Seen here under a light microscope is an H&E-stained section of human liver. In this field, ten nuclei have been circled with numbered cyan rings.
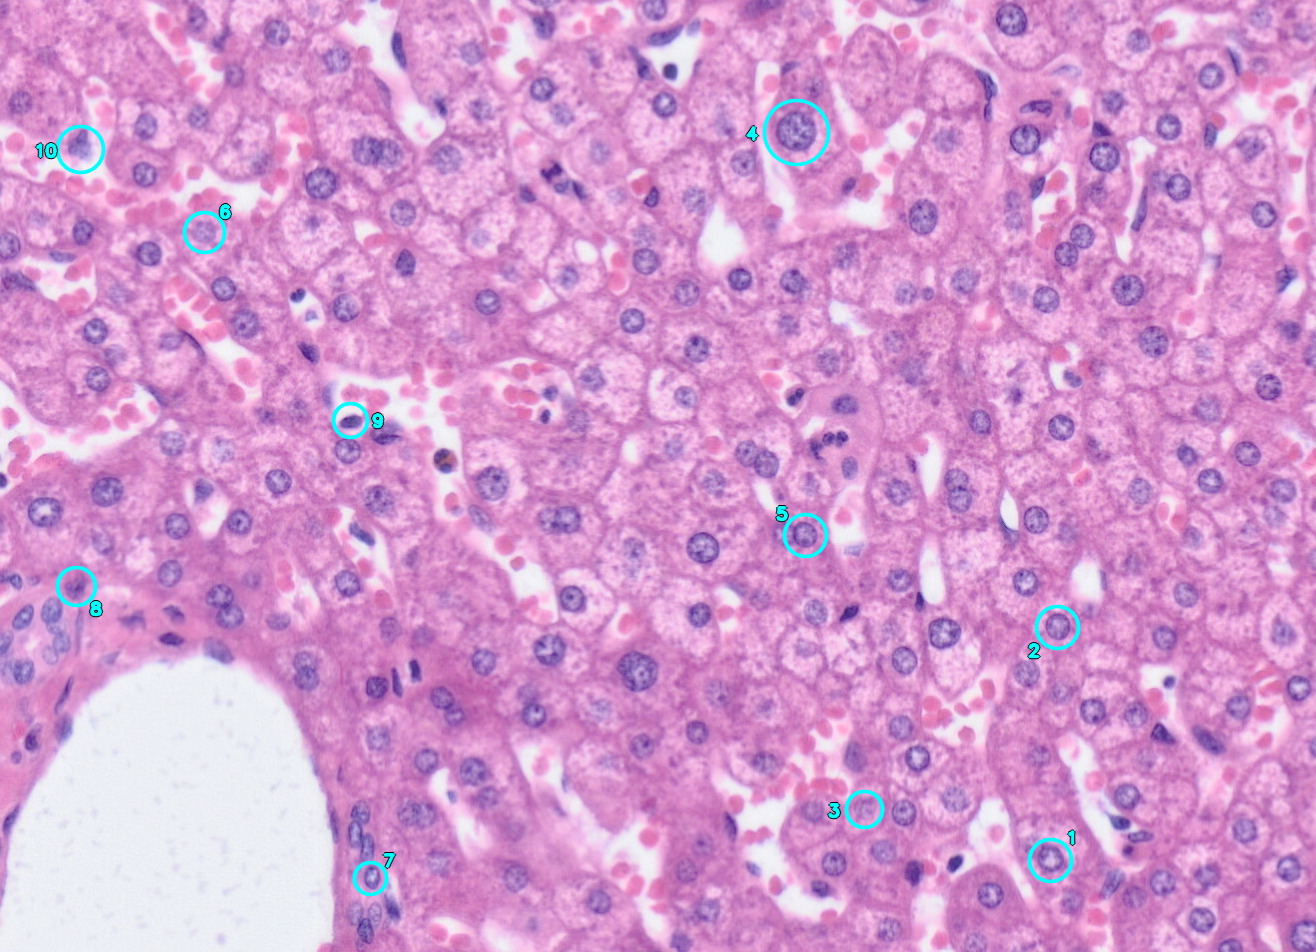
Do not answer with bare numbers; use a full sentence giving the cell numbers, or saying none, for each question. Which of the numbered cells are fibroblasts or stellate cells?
Only cell 8 qualifies as a fibroblast or stellate cell among the numbered cells.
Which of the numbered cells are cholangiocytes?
There is only one numbered cell that is a cholangiocyte, and it is cell 7.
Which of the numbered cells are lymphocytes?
Cell 9 is a lymphocyte and is the only numbered cell of that kind.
